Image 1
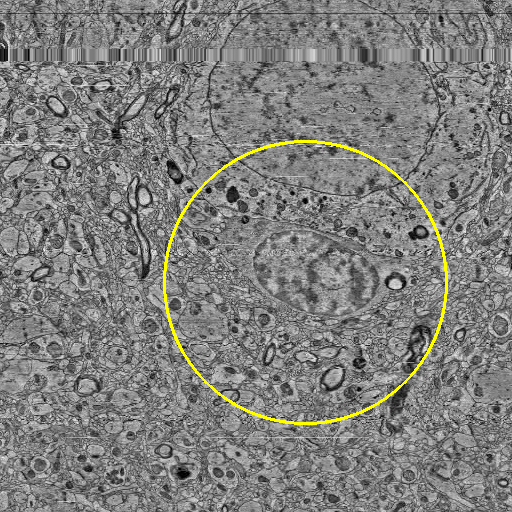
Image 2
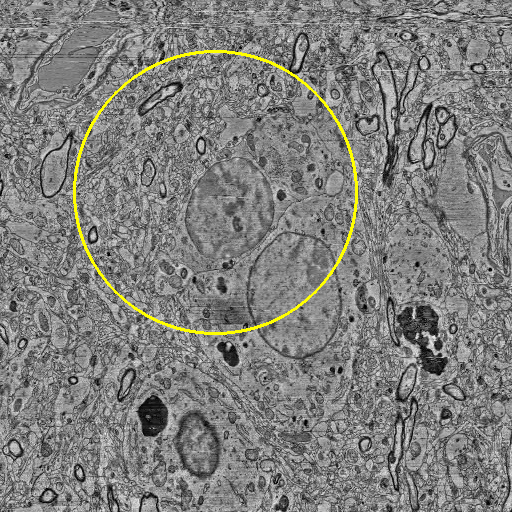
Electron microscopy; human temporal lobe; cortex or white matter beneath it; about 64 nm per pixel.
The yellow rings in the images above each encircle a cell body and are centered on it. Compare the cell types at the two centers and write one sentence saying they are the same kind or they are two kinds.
Taken together, the two cells at the ring centers are the same kind.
